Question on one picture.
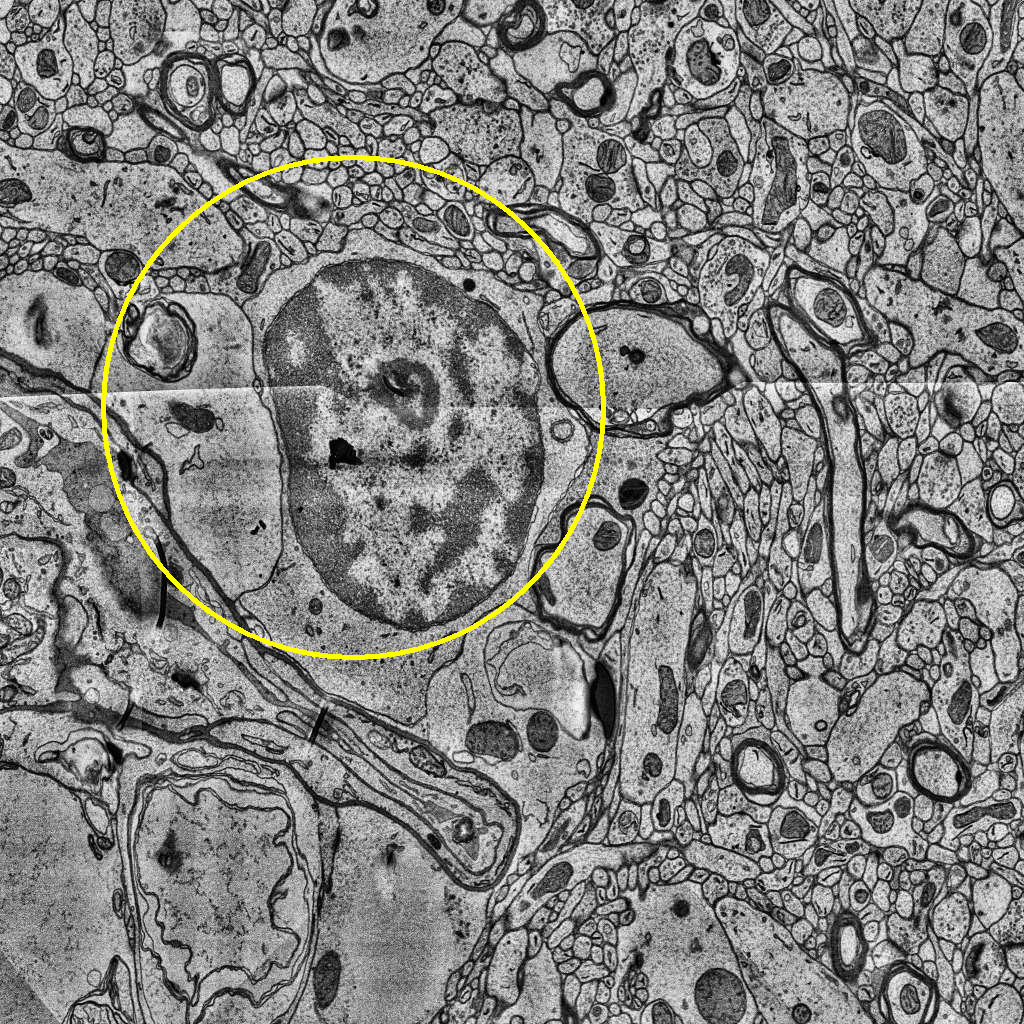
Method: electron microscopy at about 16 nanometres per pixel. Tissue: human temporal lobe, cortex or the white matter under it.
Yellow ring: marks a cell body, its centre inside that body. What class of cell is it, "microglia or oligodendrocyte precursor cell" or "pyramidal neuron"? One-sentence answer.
This is a microglial cell or oligodendrocyte precursor cell, the cell at the ring's centre.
